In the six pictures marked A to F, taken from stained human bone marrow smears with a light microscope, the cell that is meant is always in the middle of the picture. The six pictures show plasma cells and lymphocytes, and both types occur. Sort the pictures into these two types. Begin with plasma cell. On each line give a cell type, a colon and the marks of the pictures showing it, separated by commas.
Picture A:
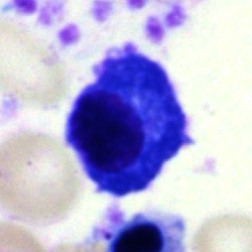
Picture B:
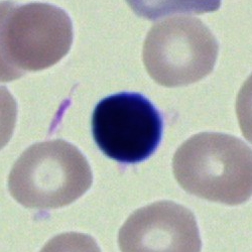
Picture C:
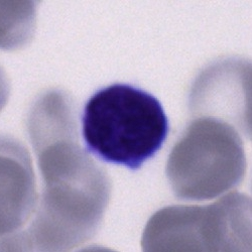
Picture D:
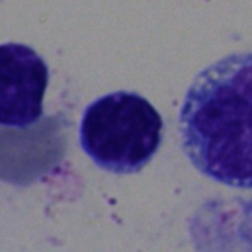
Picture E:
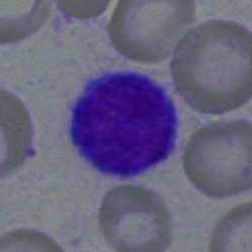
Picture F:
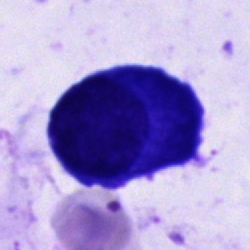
plasma cell: A, F
lymphocyte: B, C, D, E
